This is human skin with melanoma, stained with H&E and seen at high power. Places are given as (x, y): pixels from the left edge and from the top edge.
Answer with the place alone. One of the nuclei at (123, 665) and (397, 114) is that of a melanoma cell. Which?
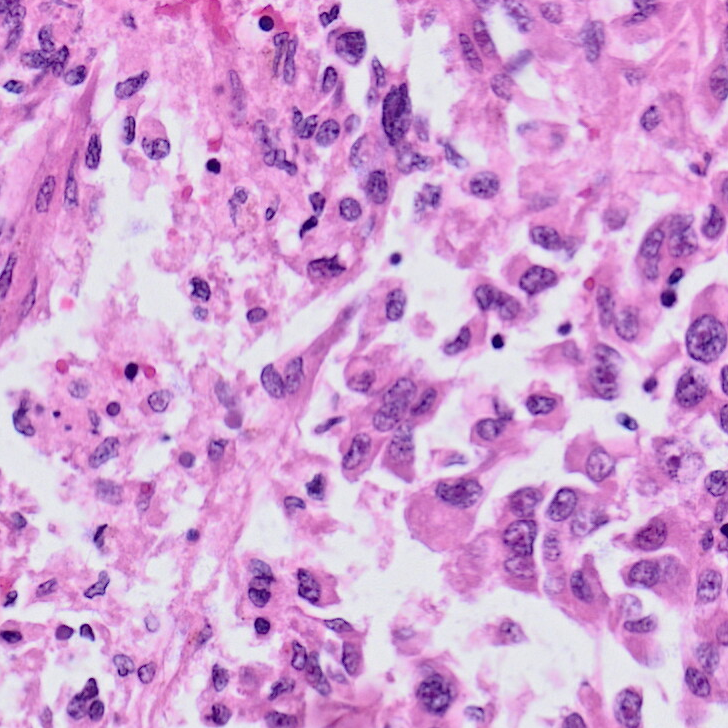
(397, 114)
